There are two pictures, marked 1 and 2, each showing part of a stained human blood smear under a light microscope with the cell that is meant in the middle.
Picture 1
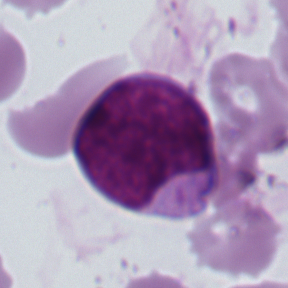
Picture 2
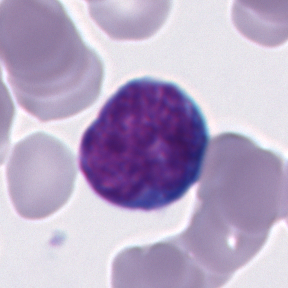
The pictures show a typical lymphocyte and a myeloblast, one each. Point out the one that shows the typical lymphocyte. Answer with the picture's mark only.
2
